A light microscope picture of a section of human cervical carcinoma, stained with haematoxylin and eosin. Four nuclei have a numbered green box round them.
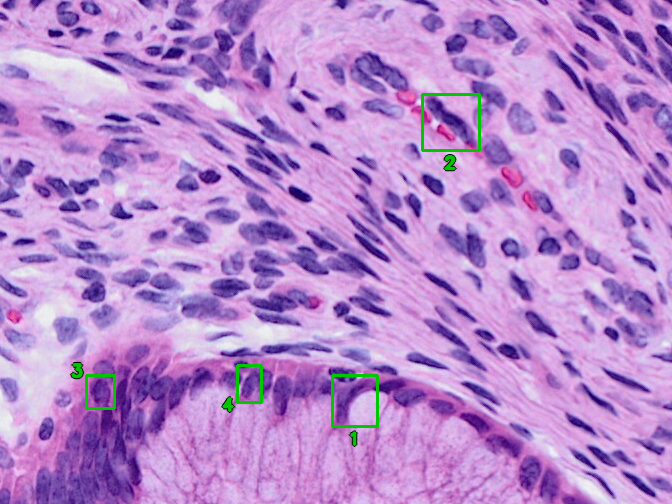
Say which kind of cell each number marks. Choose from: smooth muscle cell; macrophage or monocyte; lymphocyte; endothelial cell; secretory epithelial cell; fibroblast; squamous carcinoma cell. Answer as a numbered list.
1. secretory epithelial cell
2. endothelial cell
3. secretory epithelial cell
4. secretory epithelial cell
